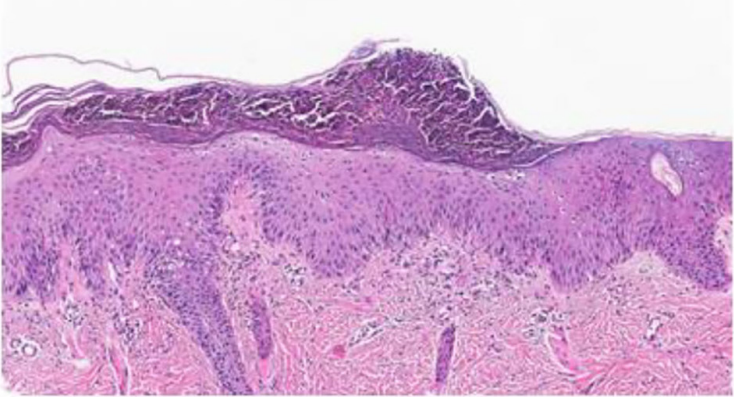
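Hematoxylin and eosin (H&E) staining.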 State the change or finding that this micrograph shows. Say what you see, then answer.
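The epidermis is much thickened. Rete ridges reach down into the dermis as elongated projections. On this evidence: marked epidermal hyperplasia.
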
